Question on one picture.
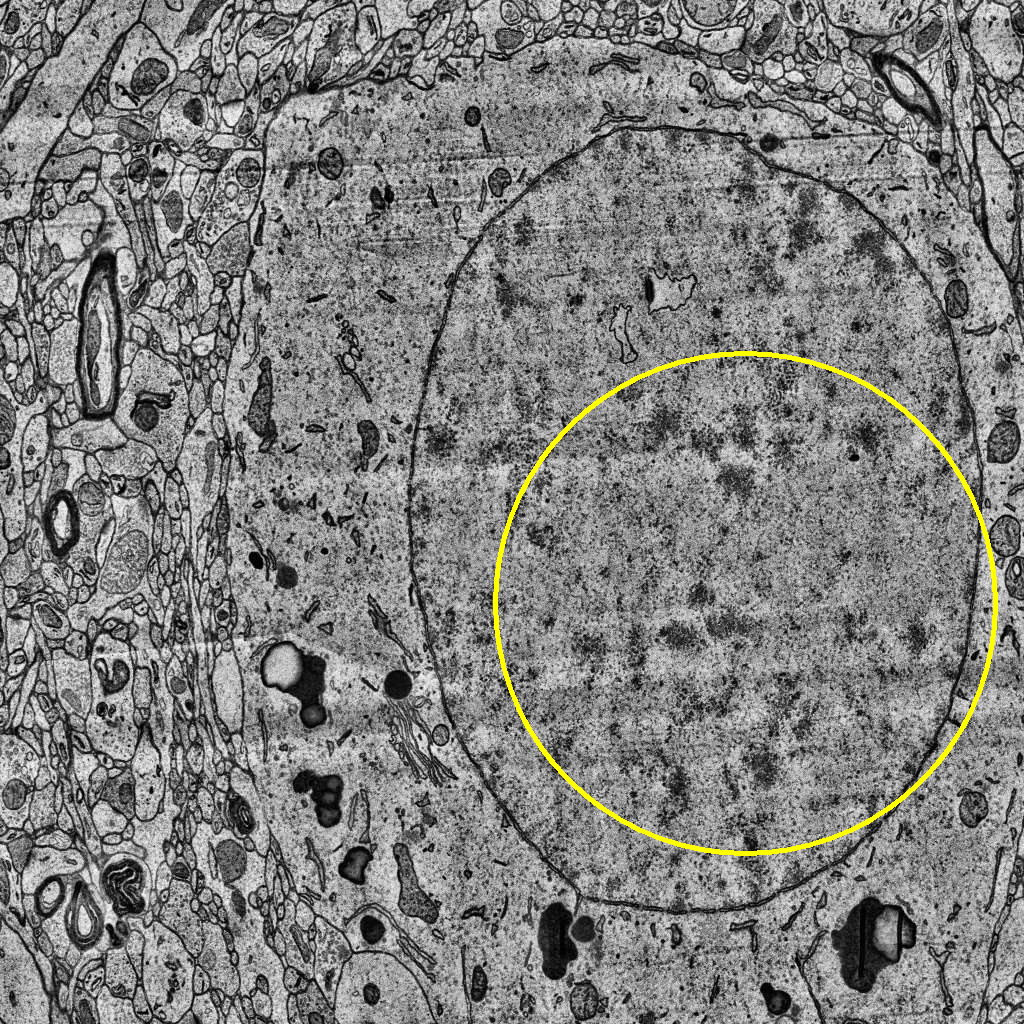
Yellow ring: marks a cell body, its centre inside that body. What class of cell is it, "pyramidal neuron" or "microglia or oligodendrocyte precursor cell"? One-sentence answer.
This is a pyramidal neuron, the cell at the ring's centre.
